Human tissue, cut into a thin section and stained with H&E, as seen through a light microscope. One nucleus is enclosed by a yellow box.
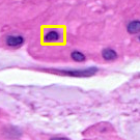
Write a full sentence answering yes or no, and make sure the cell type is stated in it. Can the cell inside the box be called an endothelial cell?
No, the identity of the cell inside the box is a smooth muscle cell, not an endothelial cell.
